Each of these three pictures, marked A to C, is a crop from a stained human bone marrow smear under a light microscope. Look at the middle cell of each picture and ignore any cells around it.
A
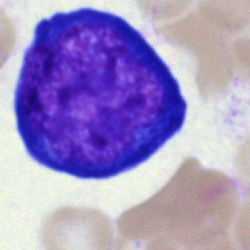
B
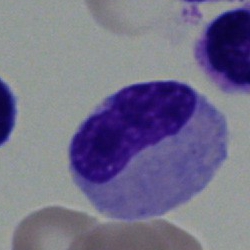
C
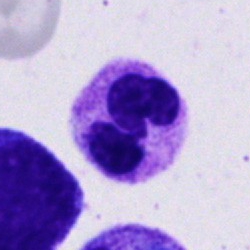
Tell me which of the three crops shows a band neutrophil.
B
